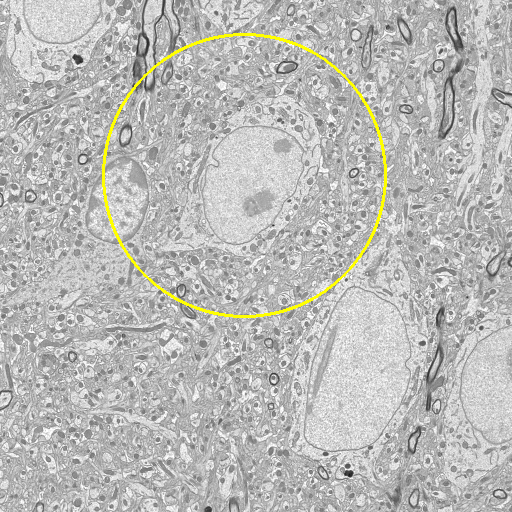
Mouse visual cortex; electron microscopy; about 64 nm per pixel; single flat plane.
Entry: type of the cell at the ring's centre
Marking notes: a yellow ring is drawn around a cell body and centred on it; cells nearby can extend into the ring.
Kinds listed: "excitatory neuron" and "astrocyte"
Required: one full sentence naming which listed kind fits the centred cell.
My entry names an excitatory neuron as the cell whose body the yellow ring centres on.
